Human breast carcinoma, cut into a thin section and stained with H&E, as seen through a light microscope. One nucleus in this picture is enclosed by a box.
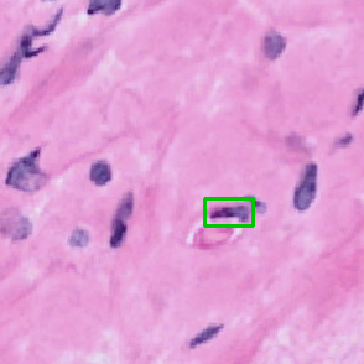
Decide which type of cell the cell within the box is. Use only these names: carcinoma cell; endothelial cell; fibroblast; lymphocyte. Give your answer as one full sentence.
Microscopically, the cell within the box is categorized as an endothelial cell.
